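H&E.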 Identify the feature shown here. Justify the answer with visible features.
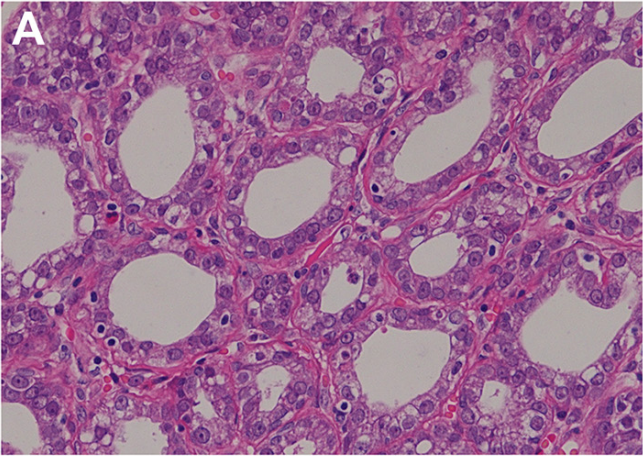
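Many round to oval glandular spaces with open lumina fill the field. Each gland is lined by cuboidal epithelial cells.
Conclusion: tightly packed tubular or acinar structures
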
